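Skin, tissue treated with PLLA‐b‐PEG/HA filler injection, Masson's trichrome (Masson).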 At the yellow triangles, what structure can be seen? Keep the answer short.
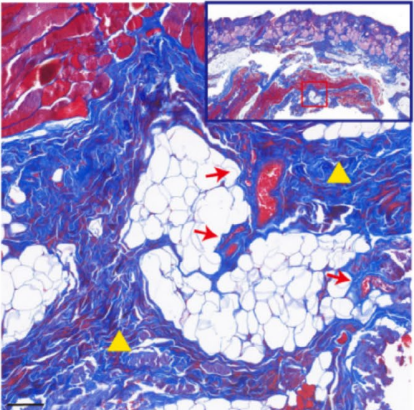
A: collagen fibers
